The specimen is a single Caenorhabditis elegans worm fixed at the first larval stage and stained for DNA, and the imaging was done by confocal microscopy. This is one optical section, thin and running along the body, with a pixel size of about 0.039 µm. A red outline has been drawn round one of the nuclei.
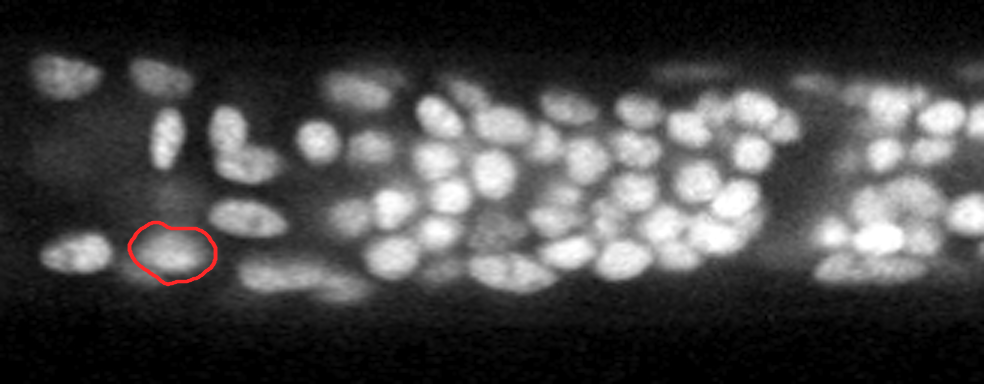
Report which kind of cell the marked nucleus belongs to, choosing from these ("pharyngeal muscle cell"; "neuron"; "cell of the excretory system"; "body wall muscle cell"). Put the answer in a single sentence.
The marked nucleus is that of a cell of the excretory system.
